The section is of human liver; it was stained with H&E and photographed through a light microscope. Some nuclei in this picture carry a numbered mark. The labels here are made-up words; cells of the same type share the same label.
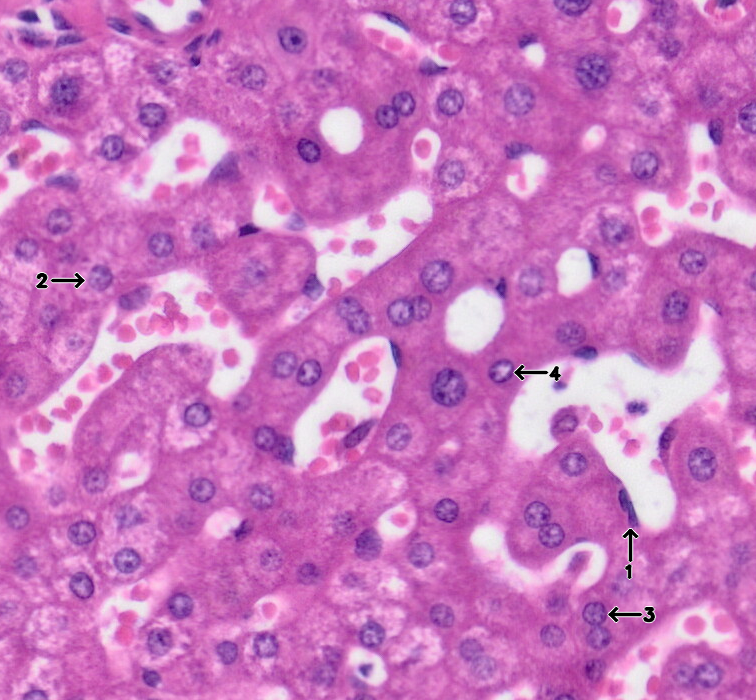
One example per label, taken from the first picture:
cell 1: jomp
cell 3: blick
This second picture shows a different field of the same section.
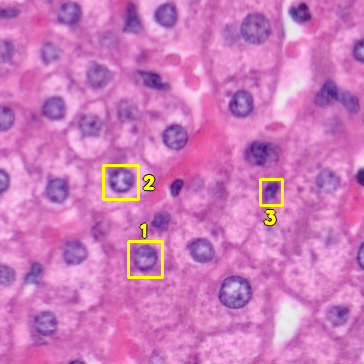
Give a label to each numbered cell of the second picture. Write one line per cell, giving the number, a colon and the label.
1: blick
2: blick
3: jomp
